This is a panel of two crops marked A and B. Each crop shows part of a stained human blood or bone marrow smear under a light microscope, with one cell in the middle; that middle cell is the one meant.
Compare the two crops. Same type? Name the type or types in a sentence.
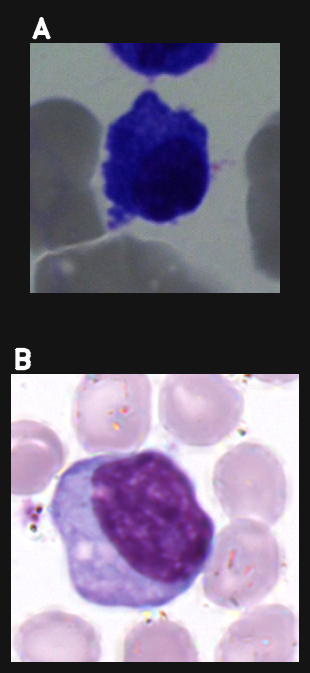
Yes, both crops do show plasma cells in the middle.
